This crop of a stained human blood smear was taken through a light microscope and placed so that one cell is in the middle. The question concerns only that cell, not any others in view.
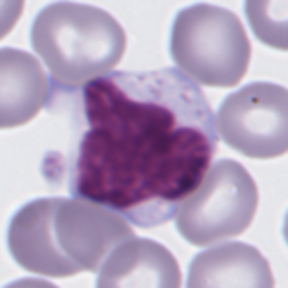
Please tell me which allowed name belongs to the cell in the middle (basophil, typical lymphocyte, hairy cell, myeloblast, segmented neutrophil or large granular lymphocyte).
large granular lymphocyte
